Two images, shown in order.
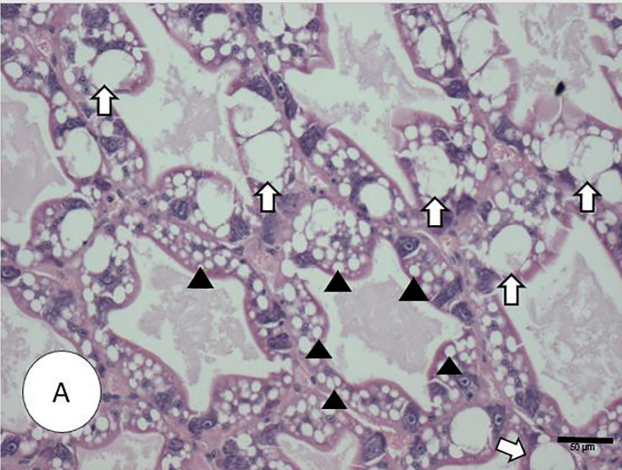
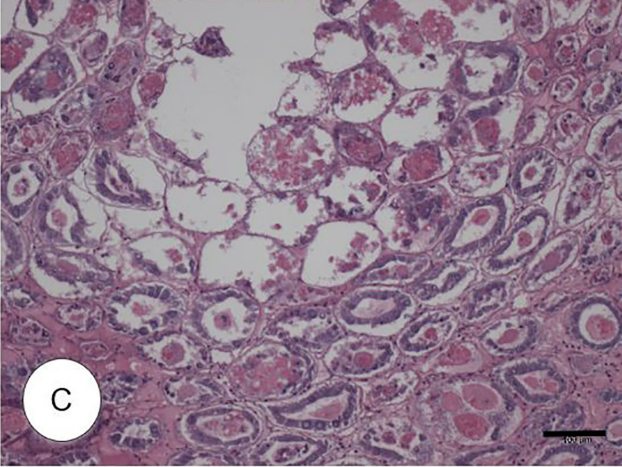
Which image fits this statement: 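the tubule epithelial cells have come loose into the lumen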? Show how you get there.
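Second image: dilated tubules with detached cells and debris free in their lumina. First image: tubule epithelium continuous and attached along the tubule walls. On this evidence: the second image.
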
